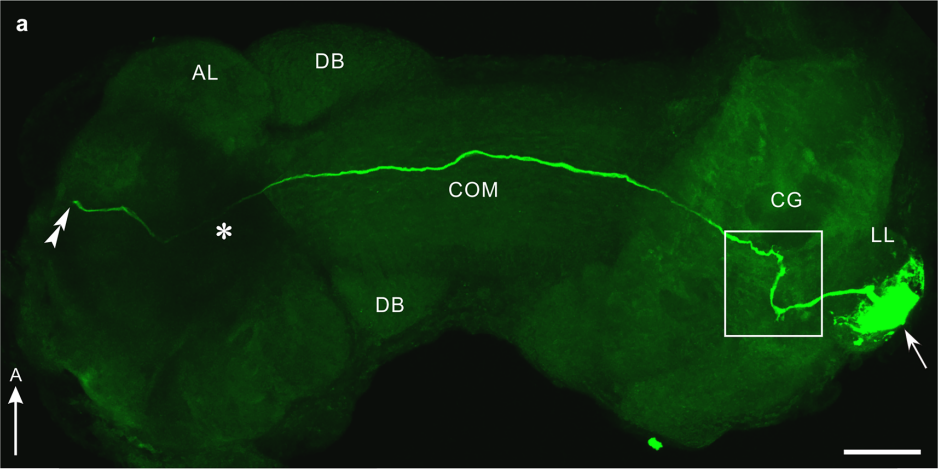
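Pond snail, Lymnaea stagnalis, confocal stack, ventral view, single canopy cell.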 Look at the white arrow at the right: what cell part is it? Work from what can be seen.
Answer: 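A bright green blob lies at the lateral edge of the tissue where the arrow points. A single thin fibre leaves this blob and runs across the preparation.
Hence: Cell body.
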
